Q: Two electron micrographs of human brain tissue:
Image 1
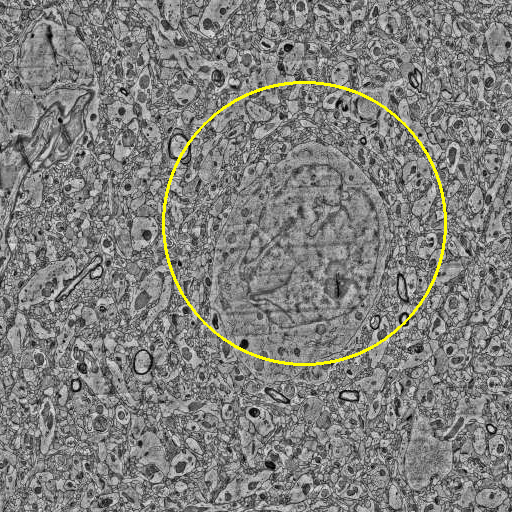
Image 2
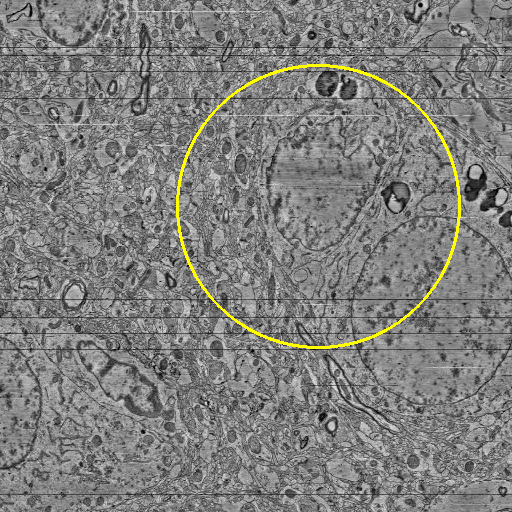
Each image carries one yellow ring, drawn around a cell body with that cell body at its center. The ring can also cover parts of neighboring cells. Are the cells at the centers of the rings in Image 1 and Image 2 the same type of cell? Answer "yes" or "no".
yes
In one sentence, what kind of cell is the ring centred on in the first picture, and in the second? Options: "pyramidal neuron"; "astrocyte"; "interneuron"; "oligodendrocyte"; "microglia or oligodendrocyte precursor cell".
The cell at the ring centre is an interneuron in both pictures.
